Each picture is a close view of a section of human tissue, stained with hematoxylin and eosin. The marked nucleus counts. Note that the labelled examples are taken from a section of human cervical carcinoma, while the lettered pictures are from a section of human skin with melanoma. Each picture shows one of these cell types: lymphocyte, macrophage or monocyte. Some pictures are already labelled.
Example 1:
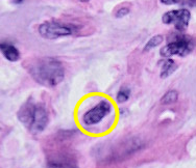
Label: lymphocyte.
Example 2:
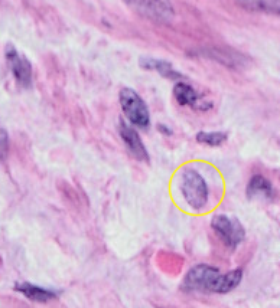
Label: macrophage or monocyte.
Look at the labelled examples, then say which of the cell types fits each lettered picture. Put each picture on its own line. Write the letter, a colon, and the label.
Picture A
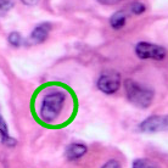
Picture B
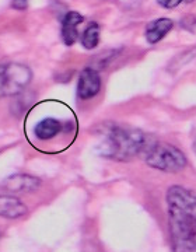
A: macrophage or monocyte.
B: lymphocyte.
